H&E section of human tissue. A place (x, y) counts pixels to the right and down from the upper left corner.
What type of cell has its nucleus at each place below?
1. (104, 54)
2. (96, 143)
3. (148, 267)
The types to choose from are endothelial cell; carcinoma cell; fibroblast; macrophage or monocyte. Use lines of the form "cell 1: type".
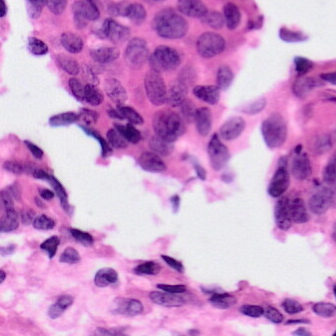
cell 1: carcinoma cell
cell 2: carcinoma cell
cell 3: macrophage or monocyte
